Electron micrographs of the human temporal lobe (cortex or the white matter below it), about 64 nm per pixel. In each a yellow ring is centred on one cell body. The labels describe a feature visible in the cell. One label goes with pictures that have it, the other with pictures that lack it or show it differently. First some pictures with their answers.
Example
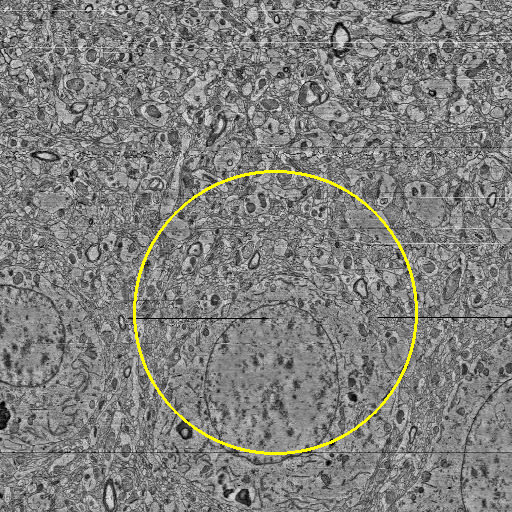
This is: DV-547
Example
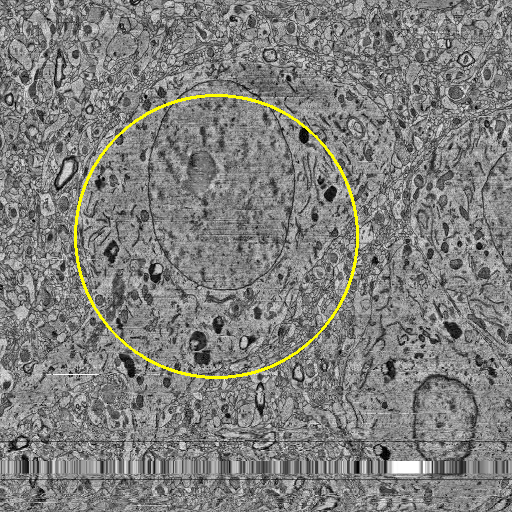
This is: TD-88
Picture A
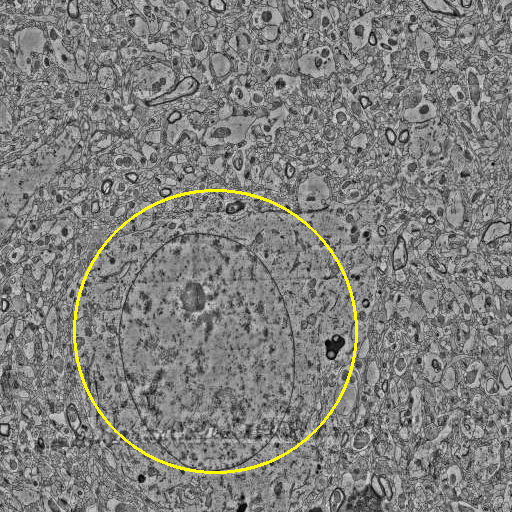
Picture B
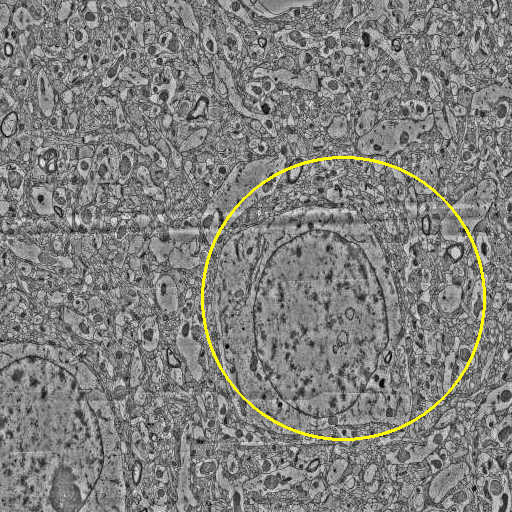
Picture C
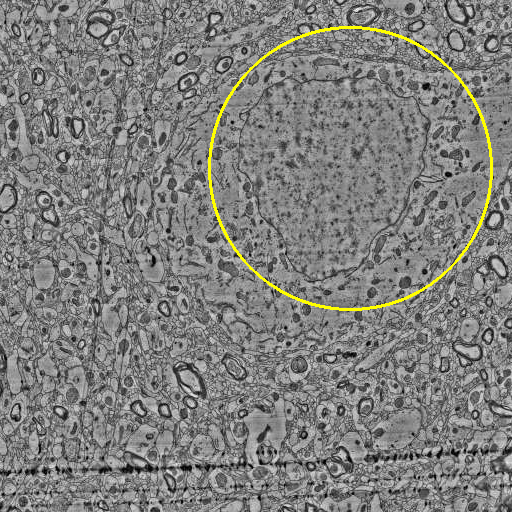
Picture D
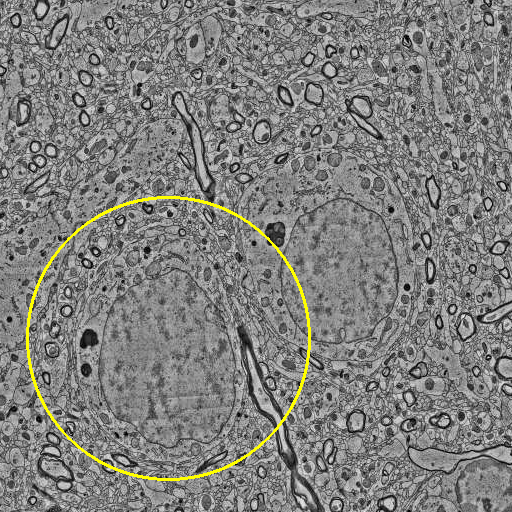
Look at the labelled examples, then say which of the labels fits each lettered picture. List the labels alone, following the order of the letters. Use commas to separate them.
TD-88, DV-547, DV-547, DV-547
